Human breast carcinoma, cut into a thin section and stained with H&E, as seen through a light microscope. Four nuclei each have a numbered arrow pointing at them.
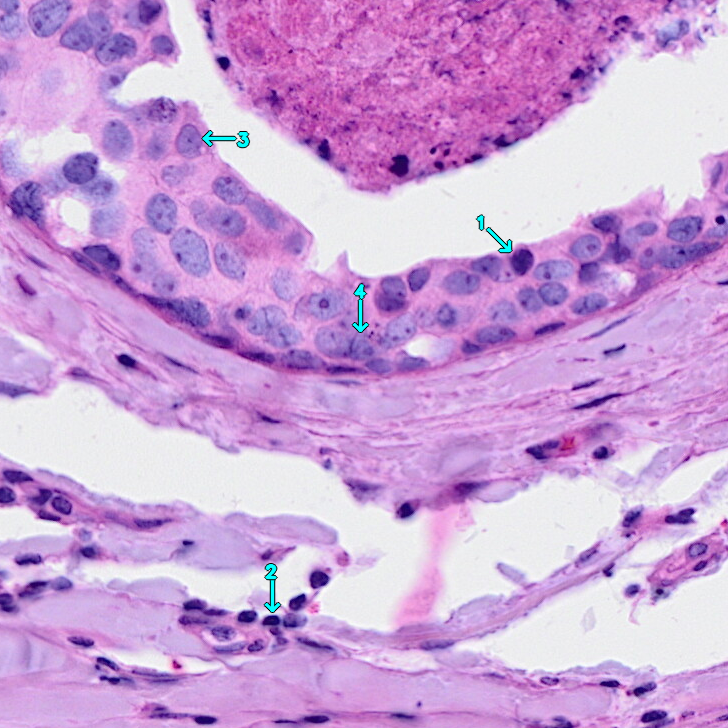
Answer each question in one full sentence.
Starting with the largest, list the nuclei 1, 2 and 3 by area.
Largest first, the order by area is 3, 1, 2.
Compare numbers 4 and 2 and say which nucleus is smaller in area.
With nucleus 4 about 2 times its size, nucleus 2 is the smaller of the two.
